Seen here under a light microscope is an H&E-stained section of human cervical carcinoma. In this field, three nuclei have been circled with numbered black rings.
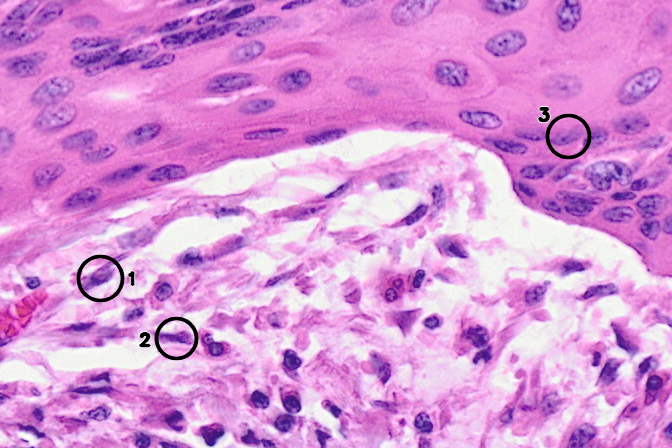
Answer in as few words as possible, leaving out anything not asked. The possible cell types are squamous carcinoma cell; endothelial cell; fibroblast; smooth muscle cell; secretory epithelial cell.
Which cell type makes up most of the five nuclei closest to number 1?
fibroblast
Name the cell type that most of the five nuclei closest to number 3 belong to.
squamous carcinoma cell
